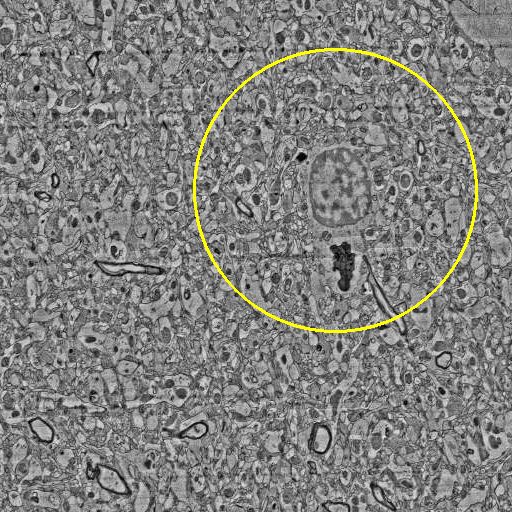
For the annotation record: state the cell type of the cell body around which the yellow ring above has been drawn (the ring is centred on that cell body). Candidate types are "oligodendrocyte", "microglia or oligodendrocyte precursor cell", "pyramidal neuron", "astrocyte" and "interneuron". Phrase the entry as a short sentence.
The ringed cell is an oligodendrocyte.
